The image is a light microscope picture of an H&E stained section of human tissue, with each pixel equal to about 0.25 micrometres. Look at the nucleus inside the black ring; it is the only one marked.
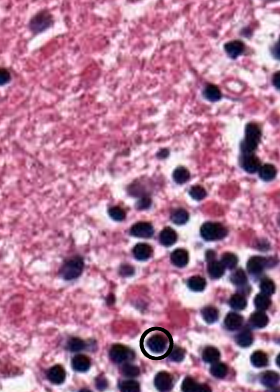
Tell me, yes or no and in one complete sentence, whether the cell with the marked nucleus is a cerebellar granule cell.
Yes, the nucleus pointed to by the marking is that of a cerebellar granule cell.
